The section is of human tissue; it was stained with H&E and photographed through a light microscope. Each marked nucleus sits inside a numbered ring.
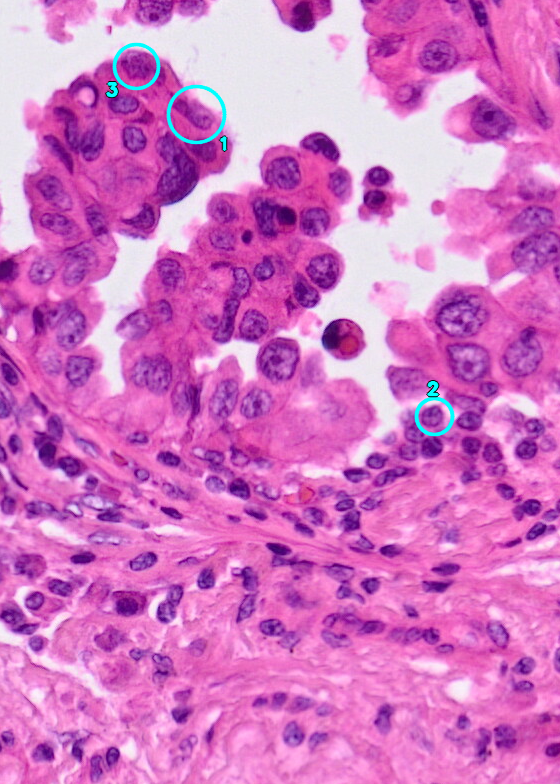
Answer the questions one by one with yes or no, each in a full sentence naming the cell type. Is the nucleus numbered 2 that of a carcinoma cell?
No, the one with number 2 is a lymphocyte, not a carcinoma cell.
